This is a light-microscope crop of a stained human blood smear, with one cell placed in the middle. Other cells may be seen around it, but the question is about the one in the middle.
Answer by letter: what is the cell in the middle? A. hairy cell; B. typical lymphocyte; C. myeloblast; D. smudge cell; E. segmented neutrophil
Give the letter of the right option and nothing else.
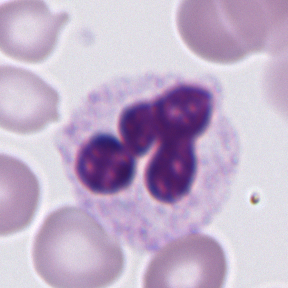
E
